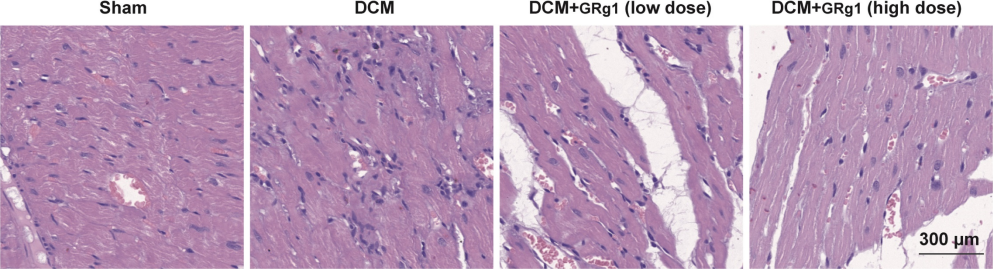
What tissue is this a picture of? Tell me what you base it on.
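Myocardium. Elongated pink-staining fibres running in parallel. Oval purple nuclei lying within the fibres. Small vessels containing red blood cells between the fibres.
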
